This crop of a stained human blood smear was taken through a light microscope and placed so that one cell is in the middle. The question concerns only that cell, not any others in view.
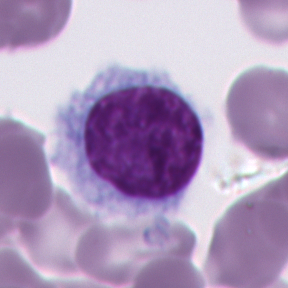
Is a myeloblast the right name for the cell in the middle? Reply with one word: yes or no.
no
